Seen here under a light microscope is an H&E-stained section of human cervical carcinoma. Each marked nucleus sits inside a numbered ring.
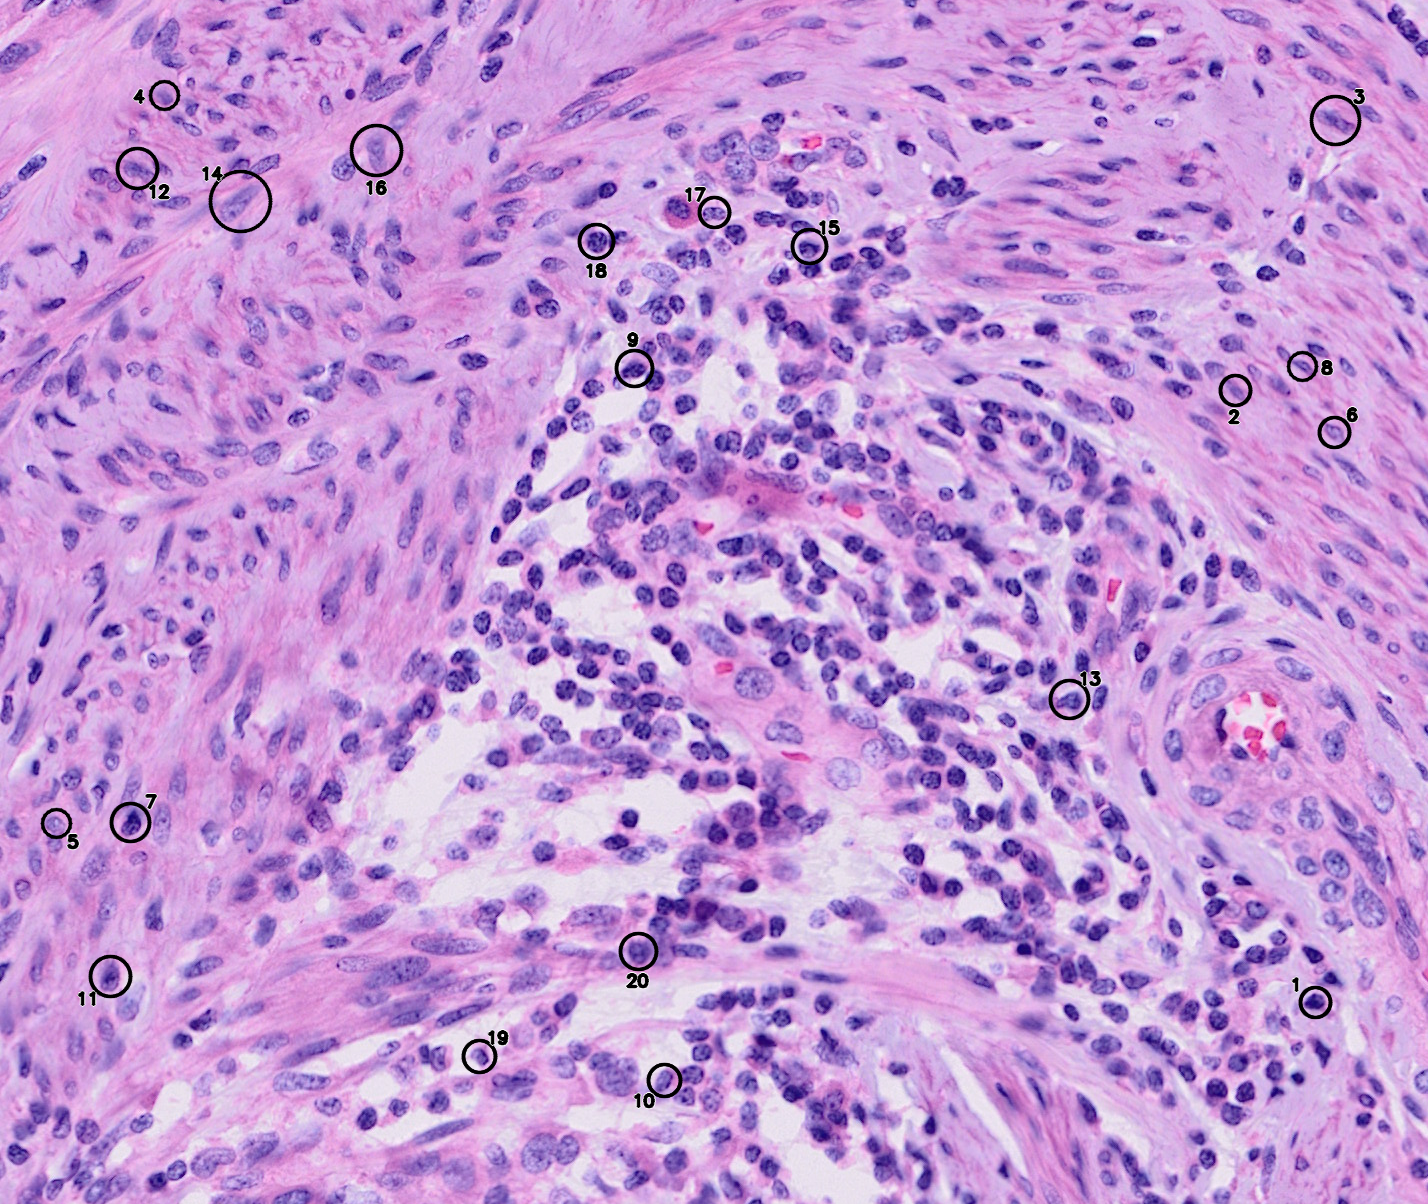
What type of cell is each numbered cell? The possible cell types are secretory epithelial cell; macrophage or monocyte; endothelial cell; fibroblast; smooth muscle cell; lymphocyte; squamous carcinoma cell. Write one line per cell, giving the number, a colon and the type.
1: lymphocyte
2: smooth muscle cell
3: smooth muscle cell
4: smooth muscle cell
5: smooth muscle cell
6: smooth muscle cell
7: lymphocyte
8: smooth muscle cell
9: lymphocyte
10: lymphocyte
11: lymphocyte
12: smooth muscle cell
13: lymphocyte
14: smooth muscle cell
15: lymphocyte
16: smooth muscle cell
17: lymphocyte
18: lymphocyte
19: lymphocyte
20: lymphocyte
